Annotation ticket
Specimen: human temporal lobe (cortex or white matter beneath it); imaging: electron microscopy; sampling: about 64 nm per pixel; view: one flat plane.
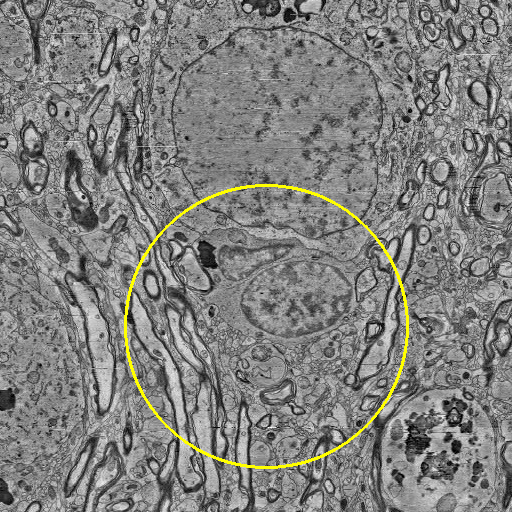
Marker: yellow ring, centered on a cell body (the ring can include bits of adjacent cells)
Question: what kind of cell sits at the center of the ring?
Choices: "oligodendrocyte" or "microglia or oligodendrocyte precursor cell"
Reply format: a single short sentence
The ring is centered on an oligodendrocyte.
